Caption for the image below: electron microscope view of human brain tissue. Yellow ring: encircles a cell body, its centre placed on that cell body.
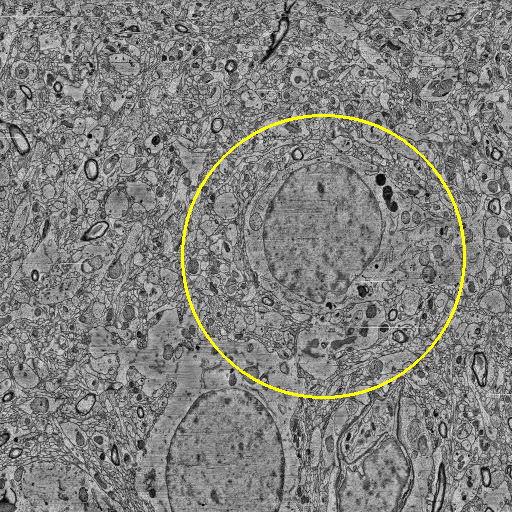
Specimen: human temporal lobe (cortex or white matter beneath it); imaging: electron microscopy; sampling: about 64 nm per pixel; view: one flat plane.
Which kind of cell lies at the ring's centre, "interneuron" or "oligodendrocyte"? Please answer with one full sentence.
The picture shows an interneuron at the centre of the yellow ring.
